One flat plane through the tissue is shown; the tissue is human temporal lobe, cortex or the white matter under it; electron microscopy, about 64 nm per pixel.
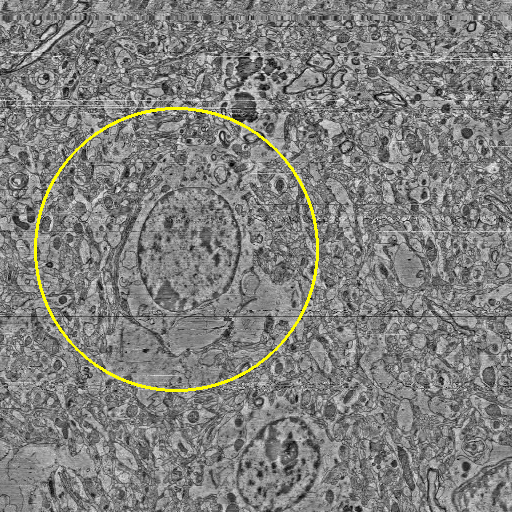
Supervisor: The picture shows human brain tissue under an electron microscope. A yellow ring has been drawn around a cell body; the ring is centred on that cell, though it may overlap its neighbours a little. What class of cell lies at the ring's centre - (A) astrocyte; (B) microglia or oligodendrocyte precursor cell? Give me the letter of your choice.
A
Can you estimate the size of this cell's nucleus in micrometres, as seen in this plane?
The nucleus is about 7 micrometres across in this plane.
